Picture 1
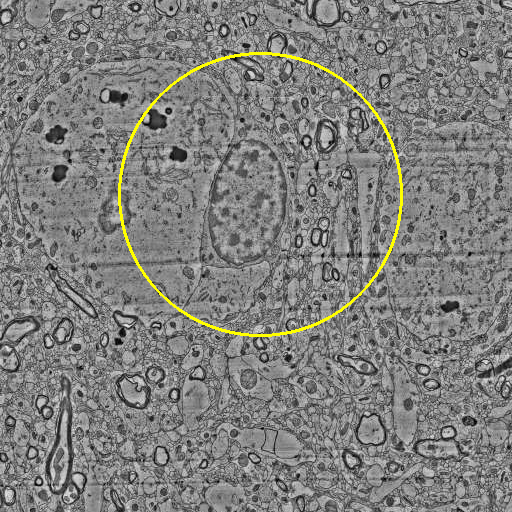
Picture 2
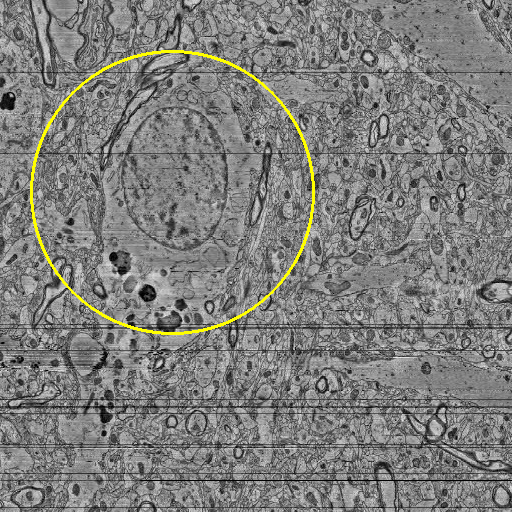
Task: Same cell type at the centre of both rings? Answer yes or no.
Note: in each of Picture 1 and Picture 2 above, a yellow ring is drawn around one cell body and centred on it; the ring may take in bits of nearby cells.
no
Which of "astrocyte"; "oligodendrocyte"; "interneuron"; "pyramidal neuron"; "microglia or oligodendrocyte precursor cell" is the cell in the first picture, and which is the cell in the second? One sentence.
The two differ: the first cell is an oligodendrocyte and the second is an astrocyte.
